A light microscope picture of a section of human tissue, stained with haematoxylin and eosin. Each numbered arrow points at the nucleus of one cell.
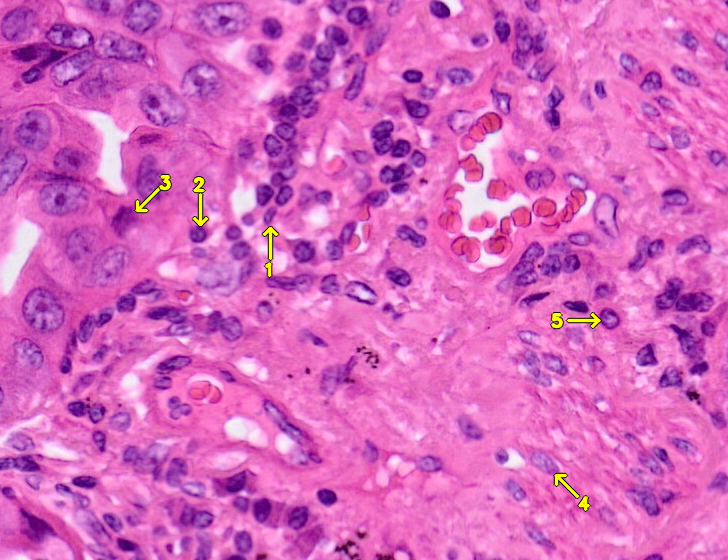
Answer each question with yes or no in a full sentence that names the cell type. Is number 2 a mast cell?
No, the cell carrying number 2 is a lymphocyte rather than a mast cell.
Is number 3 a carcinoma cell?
Yes, for number 3, the cell is a carcinoma cell.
